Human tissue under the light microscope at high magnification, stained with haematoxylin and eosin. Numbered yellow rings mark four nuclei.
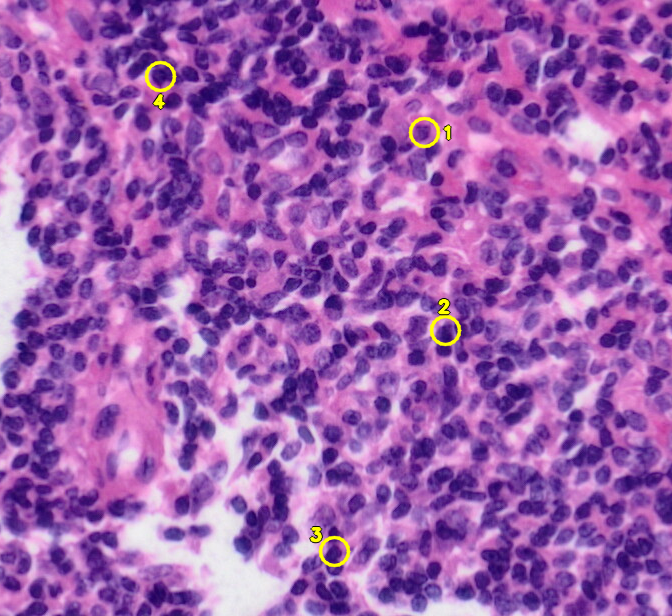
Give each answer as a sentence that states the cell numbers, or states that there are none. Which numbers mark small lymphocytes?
Marked by the numbers 2, 3 and 4 are cells that are small lymphocytes.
